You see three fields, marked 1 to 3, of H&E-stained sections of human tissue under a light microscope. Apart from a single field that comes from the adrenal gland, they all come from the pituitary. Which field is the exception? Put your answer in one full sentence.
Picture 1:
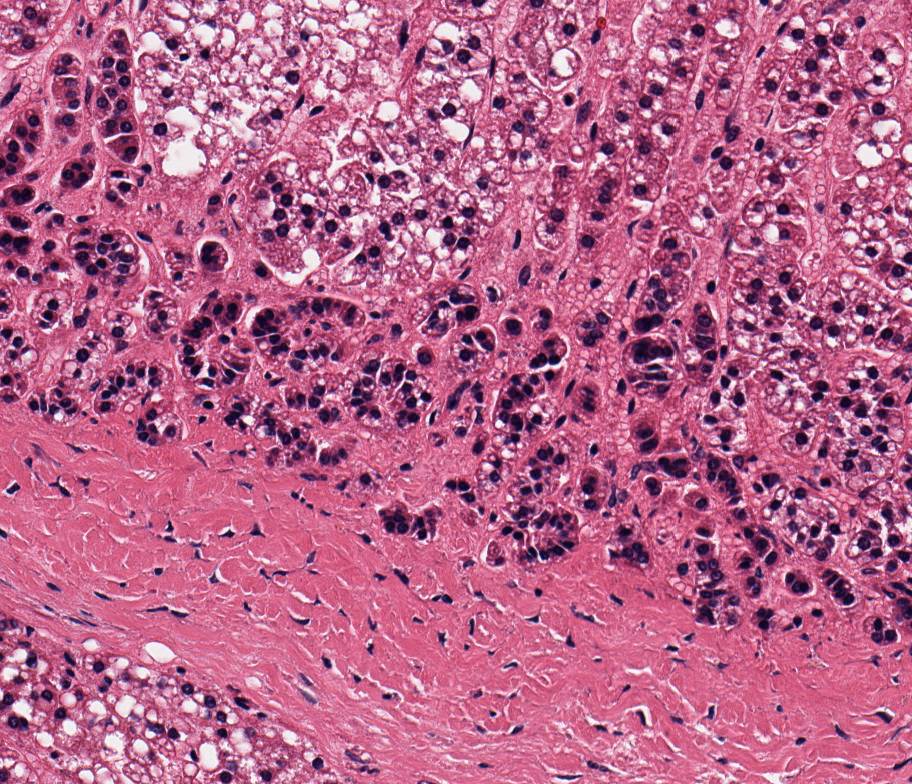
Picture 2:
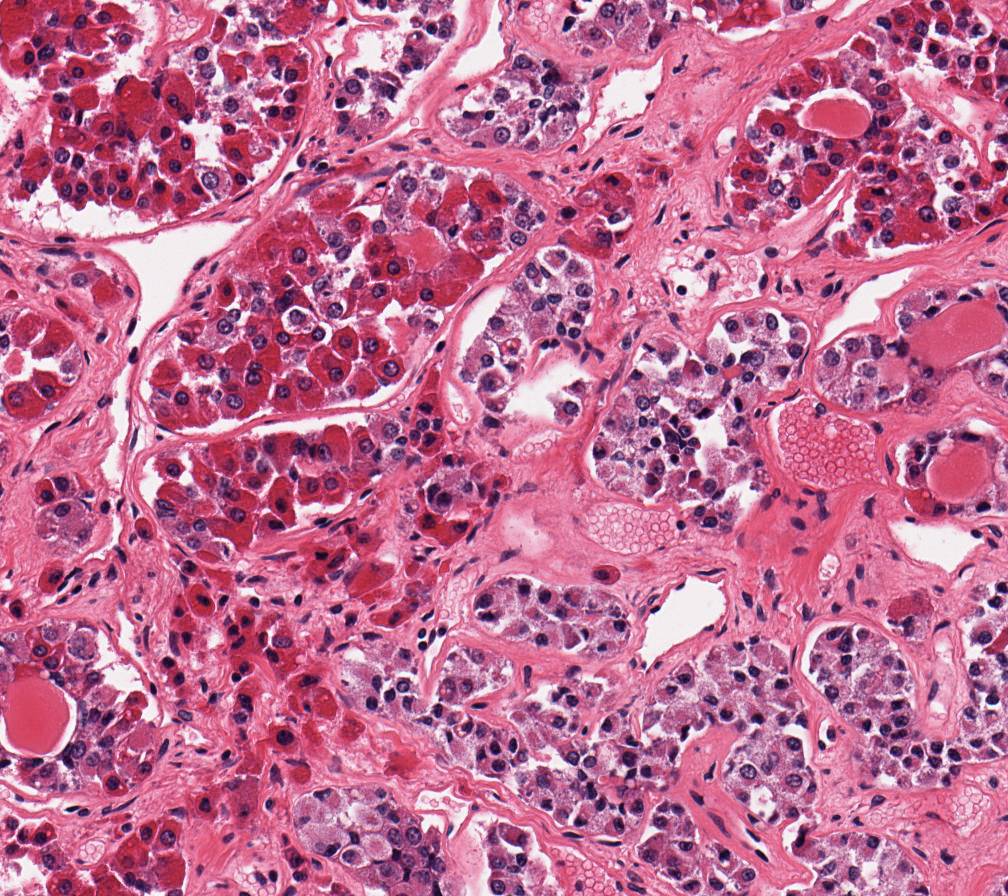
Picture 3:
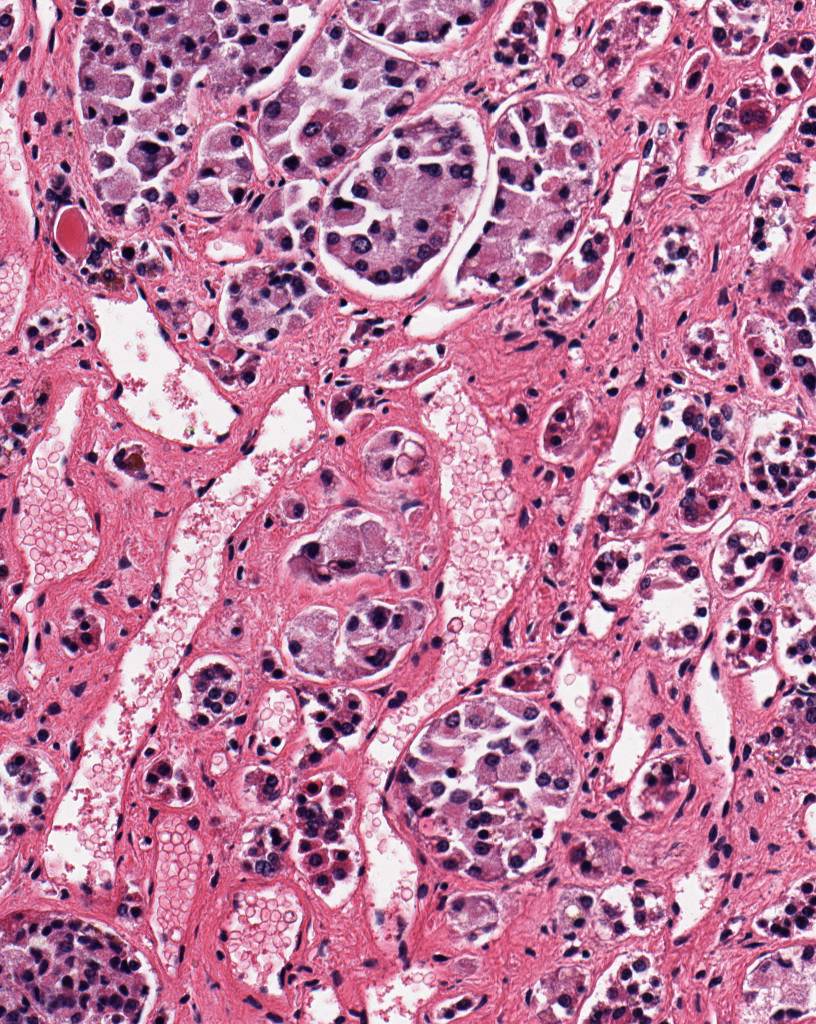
It is picture 1 that comes from the adrenal gland.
